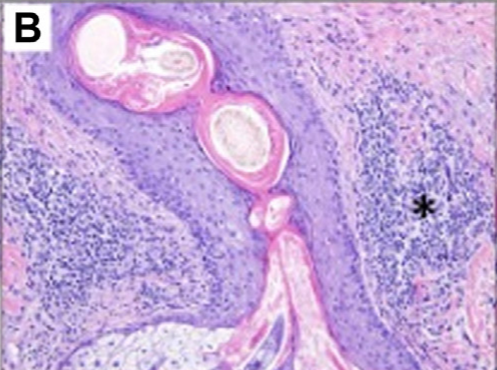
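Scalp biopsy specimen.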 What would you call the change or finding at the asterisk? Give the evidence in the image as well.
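Lichenoid dermatitis. A dense band of small dark round cells lies against the follicular epithelium. The infiltrate hugs the follicle wall on both sides.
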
